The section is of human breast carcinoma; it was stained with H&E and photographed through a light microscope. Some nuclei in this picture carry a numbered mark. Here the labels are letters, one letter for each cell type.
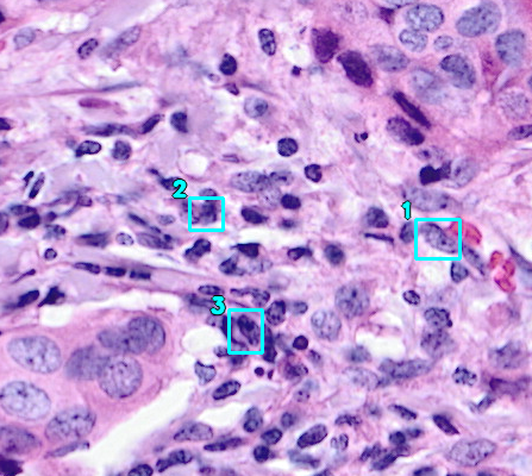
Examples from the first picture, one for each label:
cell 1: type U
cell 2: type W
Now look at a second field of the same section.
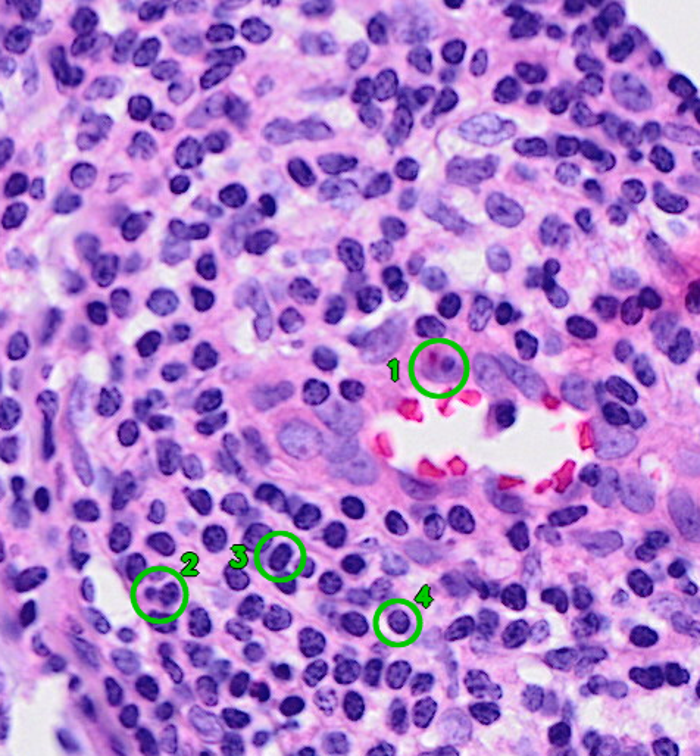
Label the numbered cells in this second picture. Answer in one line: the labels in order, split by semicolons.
type U; type W; type W; type W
